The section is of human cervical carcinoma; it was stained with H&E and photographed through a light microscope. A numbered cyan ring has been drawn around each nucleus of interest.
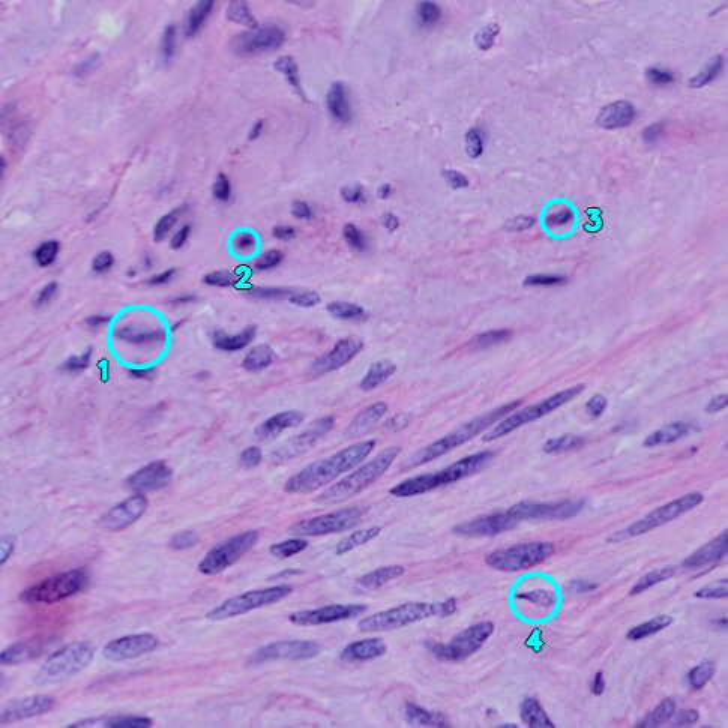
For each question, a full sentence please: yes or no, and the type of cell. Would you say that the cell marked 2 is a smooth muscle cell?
No, the cell given number 2 is a fibroblast, not a smooth muscle cell.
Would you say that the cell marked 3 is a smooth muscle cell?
Yes, cell number 3 in this section is a smooth muscle cell.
